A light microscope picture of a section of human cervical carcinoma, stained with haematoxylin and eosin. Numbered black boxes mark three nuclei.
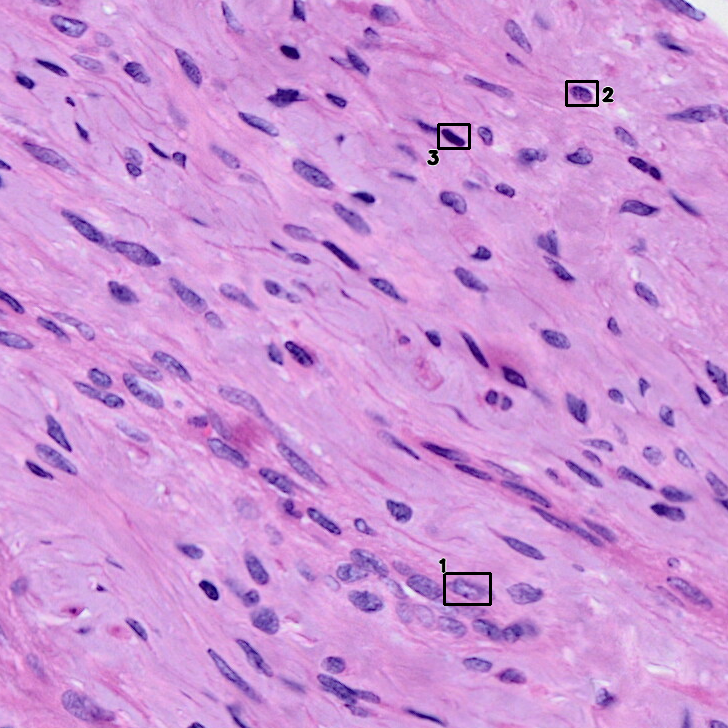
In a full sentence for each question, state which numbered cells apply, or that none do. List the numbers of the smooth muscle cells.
Exactly one numbered cell is a smooth muscle cell, and that cell is number 1.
